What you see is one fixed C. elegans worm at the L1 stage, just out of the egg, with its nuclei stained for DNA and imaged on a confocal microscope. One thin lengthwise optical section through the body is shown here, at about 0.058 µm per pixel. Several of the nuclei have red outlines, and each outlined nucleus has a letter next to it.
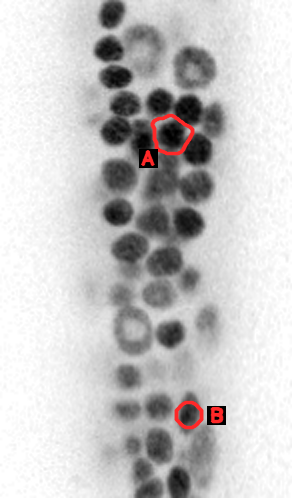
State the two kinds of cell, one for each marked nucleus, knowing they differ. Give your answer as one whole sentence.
B belongs to a glial cell (sheath or socket), and A to a neuron.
